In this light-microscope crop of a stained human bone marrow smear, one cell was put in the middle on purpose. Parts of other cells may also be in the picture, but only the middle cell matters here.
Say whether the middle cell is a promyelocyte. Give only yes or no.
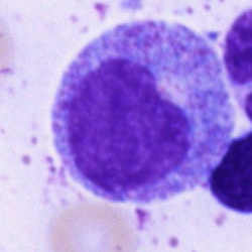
yes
